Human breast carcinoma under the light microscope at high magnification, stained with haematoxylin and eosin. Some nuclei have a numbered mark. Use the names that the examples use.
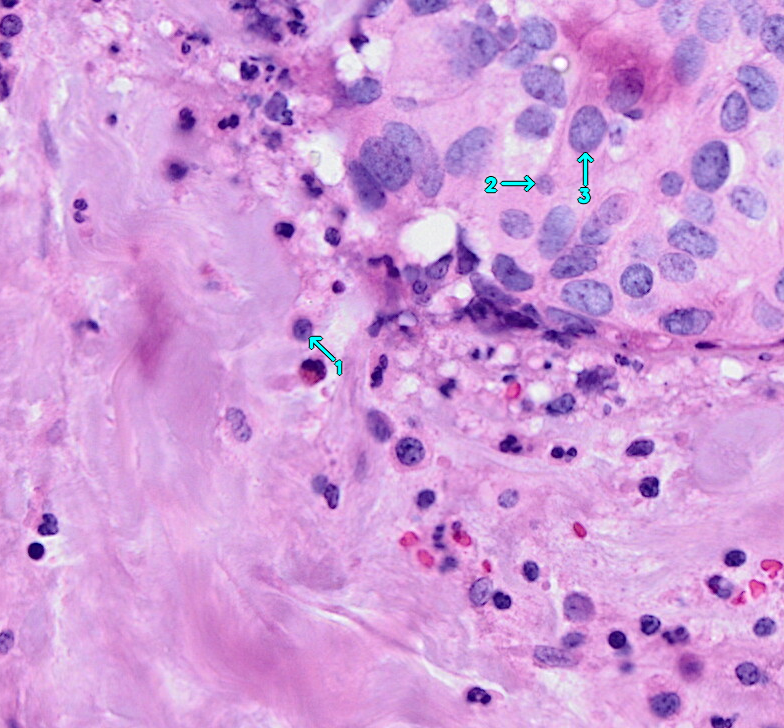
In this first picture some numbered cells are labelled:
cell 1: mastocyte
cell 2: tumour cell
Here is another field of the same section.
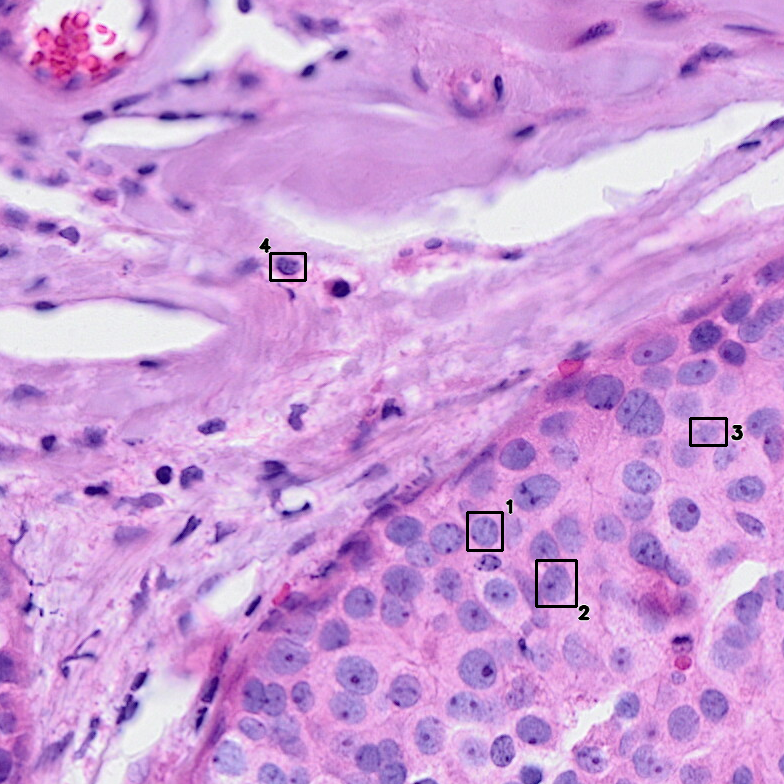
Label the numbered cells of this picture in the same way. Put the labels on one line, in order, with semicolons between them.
tumour cell; tumour cell; tumour cell; mastocyte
